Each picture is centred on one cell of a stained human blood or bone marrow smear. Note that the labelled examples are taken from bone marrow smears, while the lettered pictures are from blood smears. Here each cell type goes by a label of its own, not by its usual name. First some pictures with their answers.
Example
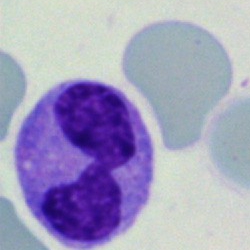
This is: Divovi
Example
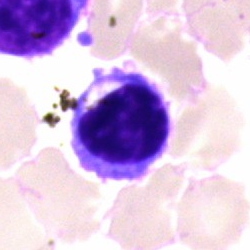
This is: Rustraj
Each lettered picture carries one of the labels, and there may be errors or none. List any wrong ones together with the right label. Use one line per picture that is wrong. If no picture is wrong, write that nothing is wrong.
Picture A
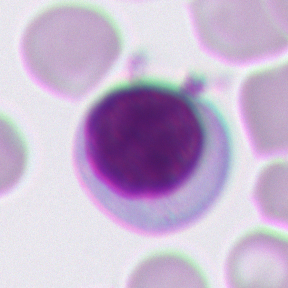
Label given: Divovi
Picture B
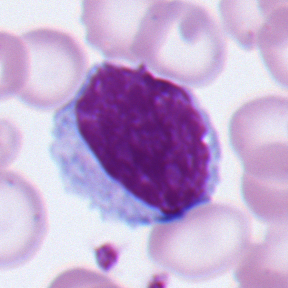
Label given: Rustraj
A is labelled Divovi; correct label: Rustraj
